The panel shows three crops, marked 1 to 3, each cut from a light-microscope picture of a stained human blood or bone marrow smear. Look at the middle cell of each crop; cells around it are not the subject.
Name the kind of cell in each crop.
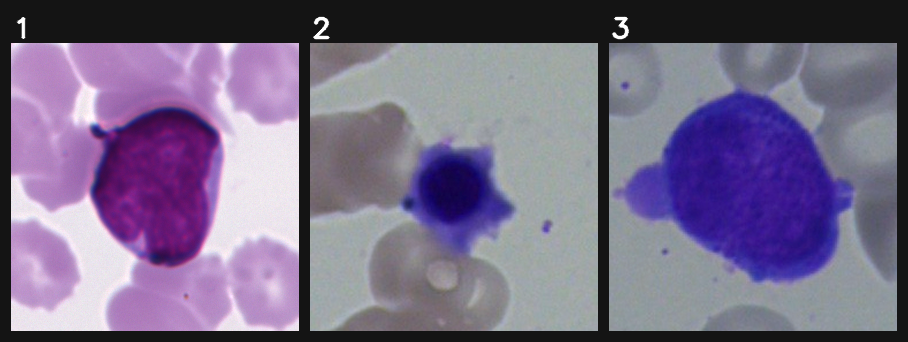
1: blast
2: erythroblast
3: blast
